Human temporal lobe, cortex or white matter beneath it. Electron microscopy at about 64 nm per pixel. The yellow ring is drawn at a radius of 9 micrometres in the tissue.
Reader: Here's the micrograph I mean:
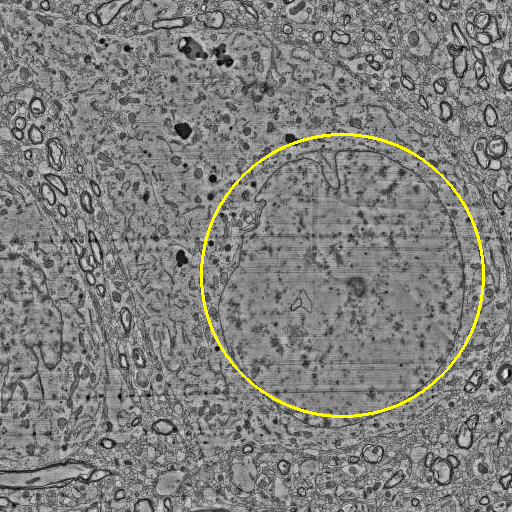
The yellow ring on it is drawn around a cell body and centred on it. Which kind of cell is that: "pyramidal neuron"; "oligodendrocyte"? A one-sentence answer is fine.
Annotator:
The ring is centred on a pyramidal neuron.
